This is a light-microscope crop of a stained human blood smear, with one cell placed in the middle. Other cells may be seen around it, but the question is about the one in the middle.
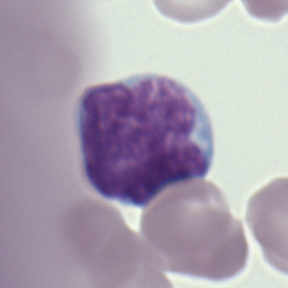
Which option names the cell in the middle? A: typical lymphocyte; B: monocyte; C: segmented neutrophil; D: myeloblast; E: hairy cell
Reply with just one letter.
B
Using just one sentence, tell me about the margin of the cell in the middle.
The membrane contour is even and smooth, with nothing projecting from it.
